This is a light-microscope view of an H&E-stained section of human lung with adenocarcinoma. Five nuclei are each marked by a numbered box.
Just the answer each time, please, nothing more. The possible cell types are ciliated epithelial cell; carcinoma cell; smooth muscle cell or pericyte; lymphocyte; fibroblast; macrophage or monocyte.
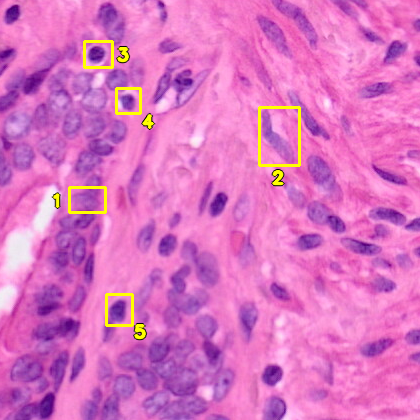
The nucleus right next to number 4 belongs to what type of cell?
ciliated epithelial cell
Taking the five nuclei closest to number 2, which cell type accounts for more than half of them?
smooth muscle cell or pericyte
